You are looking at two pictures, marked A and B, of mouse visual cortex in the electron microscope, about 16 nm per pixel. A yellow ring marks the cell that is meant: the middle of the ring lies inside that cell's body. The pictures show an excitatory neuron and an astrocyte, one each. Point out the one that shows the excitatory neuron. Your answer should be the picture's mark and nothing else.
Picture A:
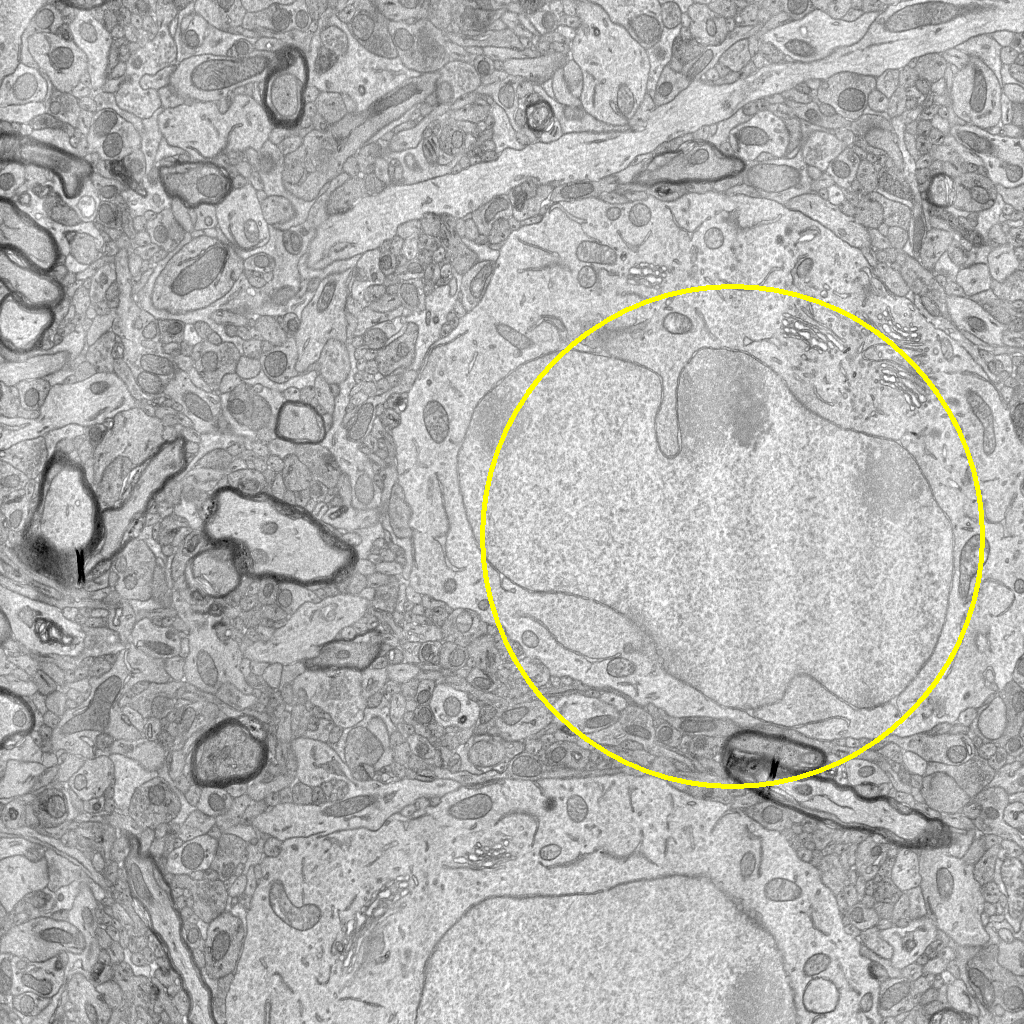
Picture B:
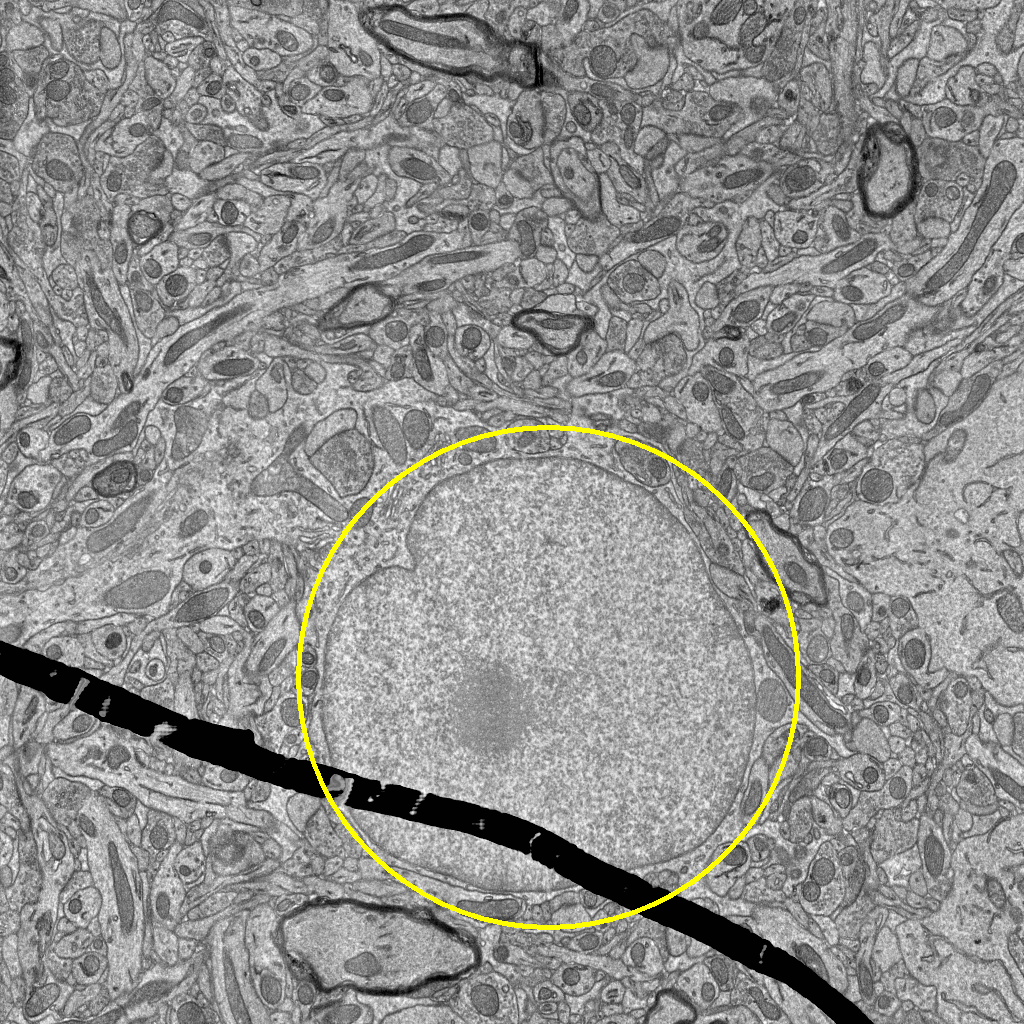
A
